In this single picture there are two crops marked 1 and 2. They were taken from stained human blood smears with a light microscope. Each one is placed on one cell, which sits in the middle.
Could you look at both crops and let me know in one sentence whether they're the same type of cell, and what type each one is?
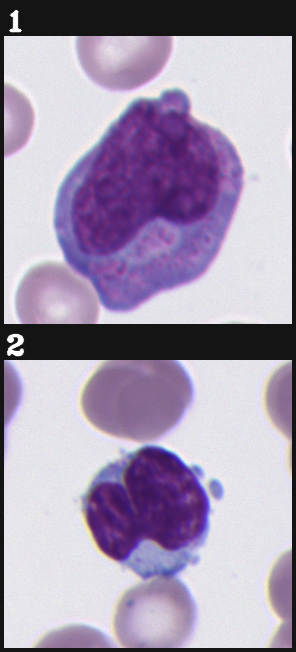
No, record crop 1 as an atypical promyelocyte and crop 2 as a monocyte.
